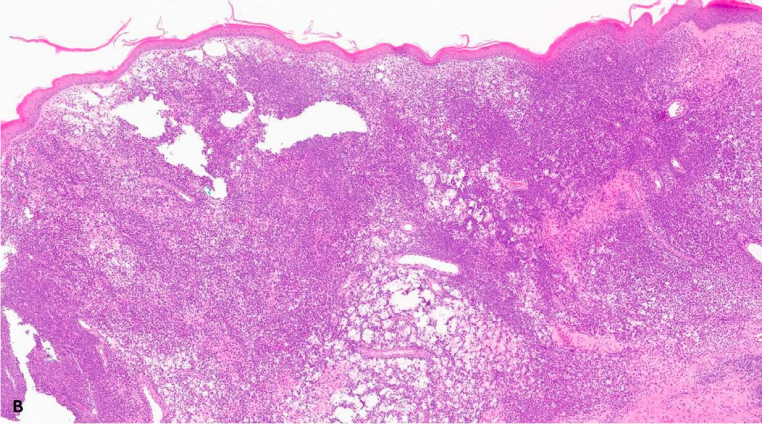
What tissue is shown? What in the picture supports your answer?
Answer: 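Dermis. A thin epidermis runs along the top edge. A dense cellular infiltrate fills the tissue beneath the epidermis.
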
